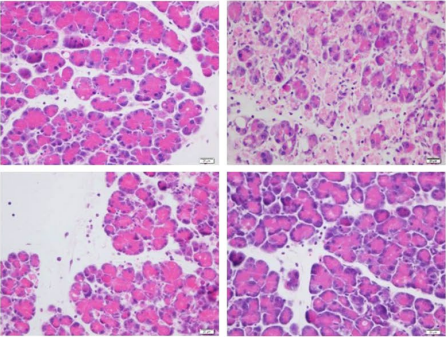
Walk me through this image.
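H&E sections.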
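Four fields of pancreatic exocrine tissue made of acini of pyramidal acinar cells with pink-red apical cytoplasm and dark purple basal nuclei, grouped into lobules separated by thin pale septa. In most fields the acini are compact and intensely stained. In the upper right field many acini are pale, swollen and poorly outlined, with faint pink cytoplasm, scattered nuclei and loss of the regular acinar pattern. Some fields show widened, pale interlobular spaces between lobules.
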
